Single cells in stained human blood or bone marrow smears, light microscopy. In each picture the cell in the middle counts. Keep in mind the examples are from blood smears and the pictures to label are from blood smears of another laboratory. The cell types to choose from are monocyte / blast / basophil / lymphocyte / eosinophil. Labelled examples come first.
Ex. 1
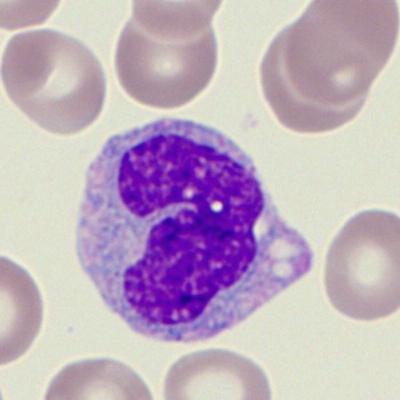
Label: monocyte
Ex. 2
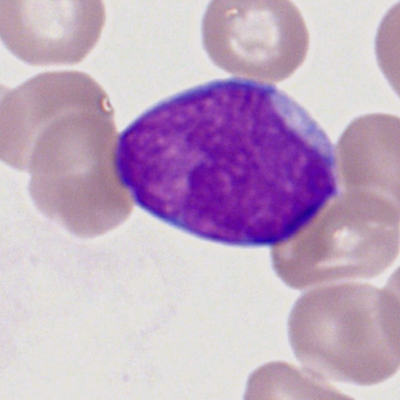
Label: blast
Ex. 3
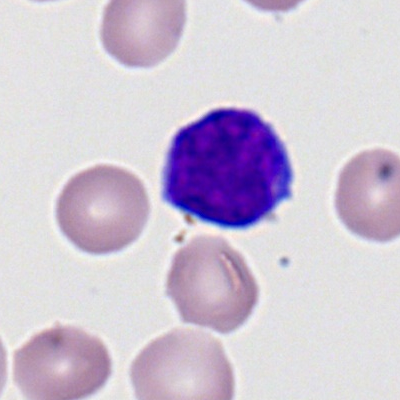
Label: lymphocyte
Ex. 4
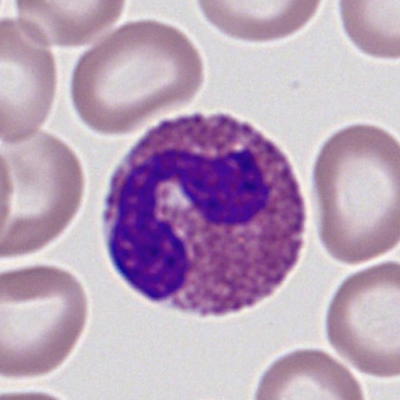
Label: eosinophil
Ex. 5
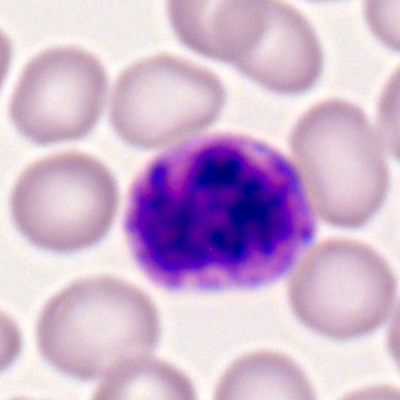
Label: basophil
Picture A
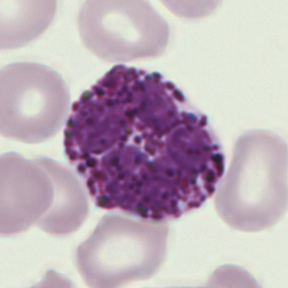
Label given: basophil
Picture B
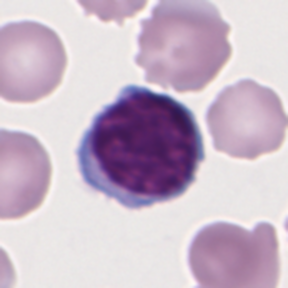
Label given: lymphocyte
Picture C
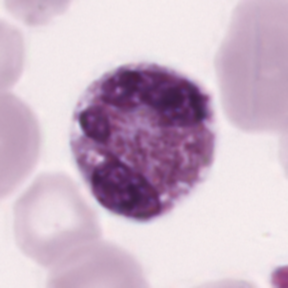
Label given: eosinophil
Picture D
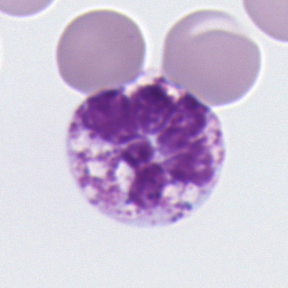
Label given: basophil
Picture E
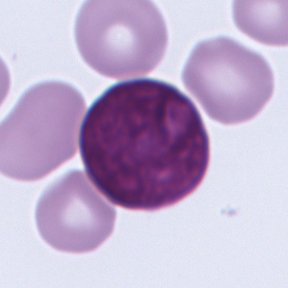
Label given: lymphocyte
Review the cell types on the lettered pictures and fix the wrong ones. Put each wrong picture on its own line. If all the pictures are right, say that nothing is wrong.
E: change lymphocyte to blast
